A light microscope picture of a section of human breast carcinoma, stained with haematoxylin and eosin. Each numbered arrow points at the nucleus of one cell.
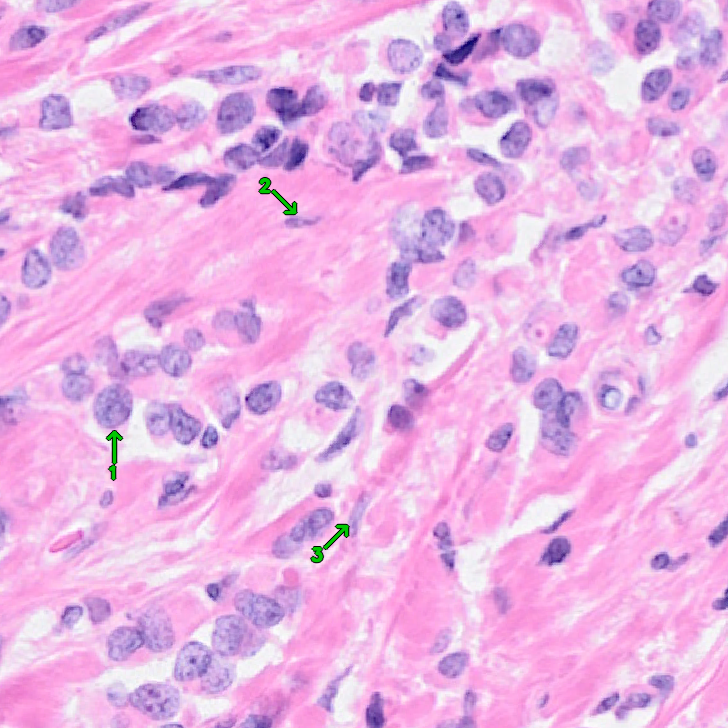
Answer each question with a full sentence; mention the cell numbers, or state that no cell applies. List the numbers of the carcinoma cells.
The cell bearing the number 1 is a carcinoma cell, unlike the rest of the numbered cells.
